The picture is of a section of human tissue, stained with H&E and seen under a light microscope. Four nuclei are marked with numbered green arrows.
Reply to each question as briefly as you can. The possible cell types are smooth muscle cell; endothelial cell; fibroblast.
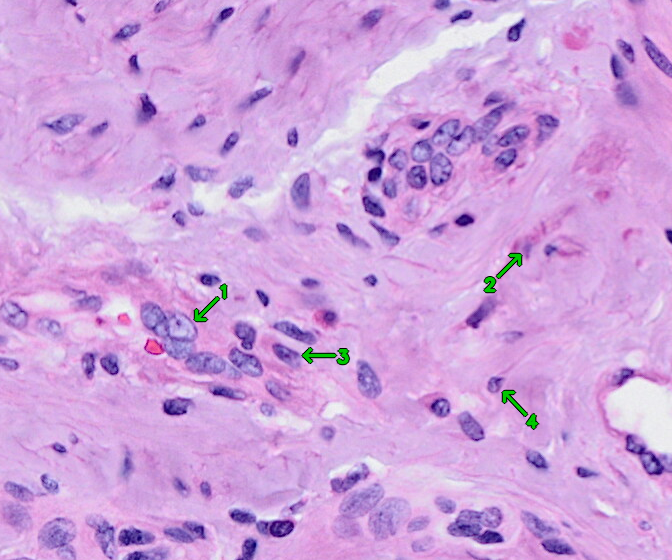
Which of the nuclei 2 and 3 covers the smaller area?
2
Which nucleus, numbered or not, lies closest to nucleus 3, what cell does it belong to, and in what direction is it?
a fibroblast above nucleus 3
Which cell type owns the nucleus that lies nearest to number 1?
endothelial cell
